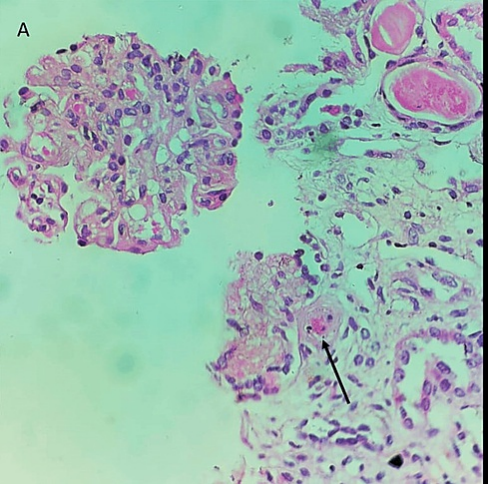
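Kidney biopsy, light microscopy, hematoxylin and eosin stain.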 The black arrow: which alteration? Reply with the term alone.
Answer: Fibrin thrombus.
